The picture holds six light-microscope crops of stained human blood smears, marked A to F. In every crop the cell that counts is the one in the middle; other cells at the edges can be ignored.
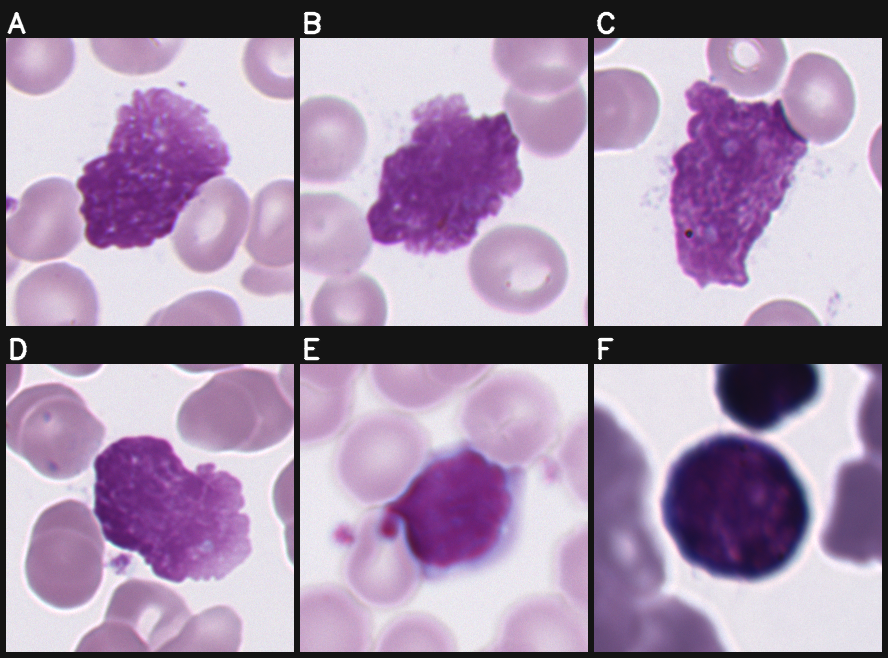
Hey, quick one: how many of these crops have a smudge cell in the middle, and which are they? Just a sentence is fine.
Depicted in four crops, namely A, B, C and D, are smudge cells.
